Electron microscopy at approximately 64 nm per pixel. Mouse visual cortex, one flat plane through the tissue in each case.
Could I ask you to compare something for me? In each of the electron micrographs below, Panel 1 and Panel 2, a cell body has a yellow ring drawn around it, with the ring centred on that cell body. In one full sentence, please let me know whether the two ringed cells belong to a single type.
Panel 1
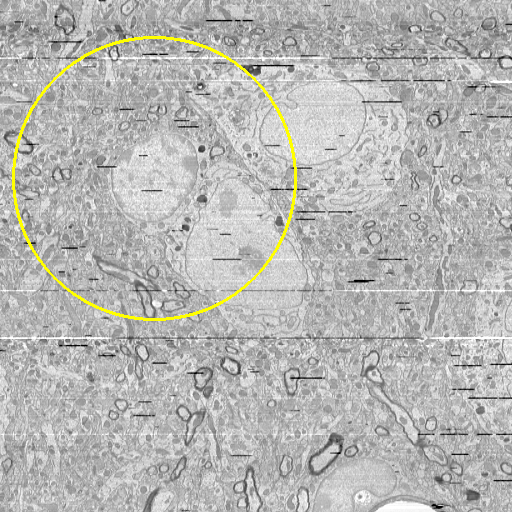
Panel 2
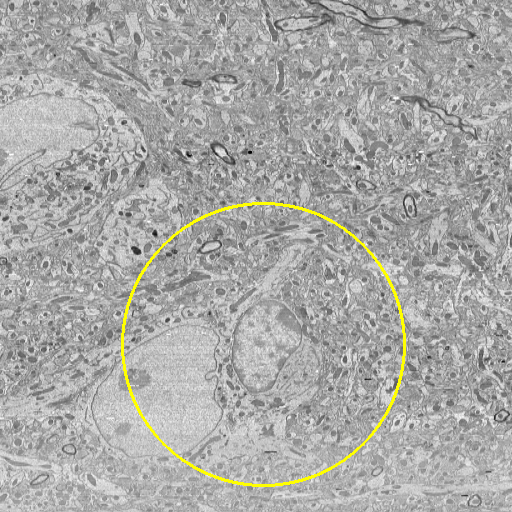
Yes, the two cells at the centres of the rings are of one type.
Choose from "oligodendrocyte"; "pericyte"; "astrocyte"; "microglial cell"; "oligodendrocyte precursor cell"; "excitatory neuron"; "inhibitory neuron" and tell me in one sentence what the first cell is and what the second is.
The cell at the ring centre is an oligodendrocyte in both pictures.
